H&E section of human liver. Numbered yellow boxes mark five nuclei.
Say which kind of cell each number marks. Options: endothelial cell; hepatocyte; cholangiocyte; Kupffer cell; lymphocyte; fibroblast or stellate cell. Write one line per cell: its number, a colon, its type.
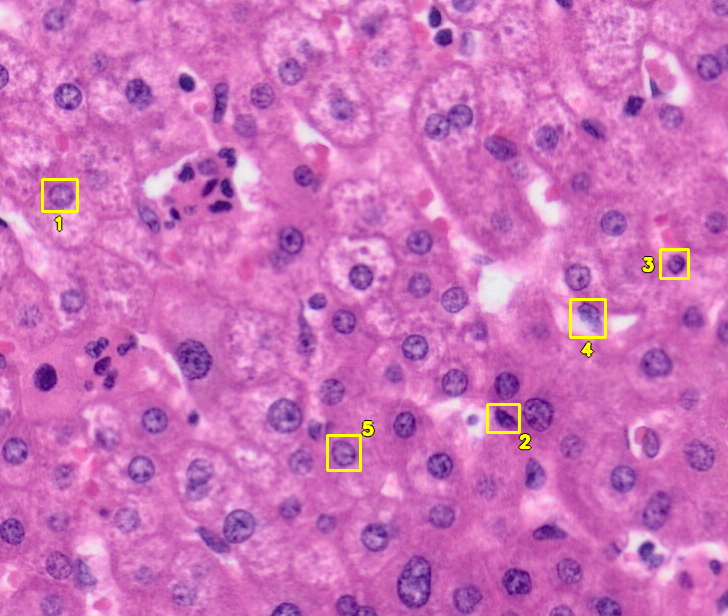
1: hepatocyte
2: fibroblast or stellate cell
3: lymphocyte
4: endothelial cell
5: hepatocyte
